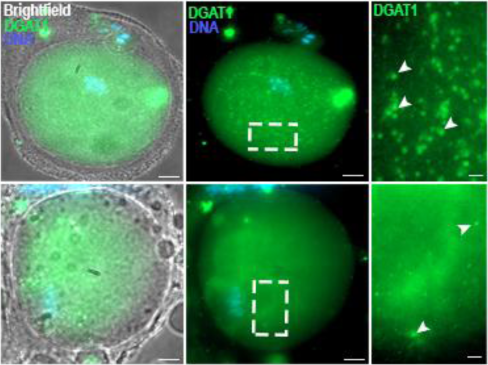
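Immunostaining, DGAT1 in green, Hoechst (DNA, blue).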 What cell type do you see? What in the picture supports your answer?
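Oocytes. Single very large round cell filling each image.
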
